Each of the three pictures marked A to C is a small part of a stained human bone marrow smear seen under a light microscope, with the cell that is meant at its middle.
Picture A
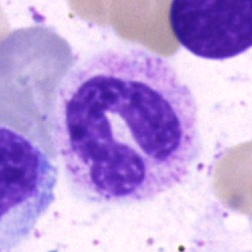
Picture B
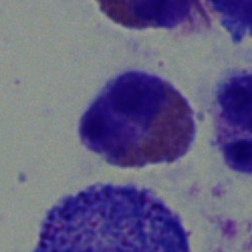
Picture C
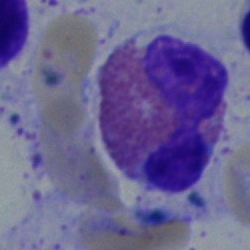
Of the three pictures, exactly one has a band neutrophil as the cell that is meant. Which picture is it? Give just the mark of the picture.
A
